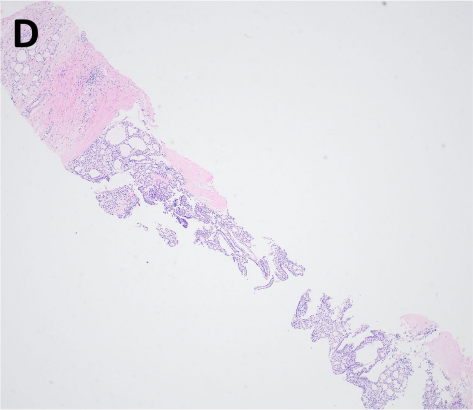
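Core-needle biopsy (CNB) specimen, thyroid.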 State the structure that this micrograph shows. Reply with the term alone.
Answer: Macro- and microfollicular structures.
